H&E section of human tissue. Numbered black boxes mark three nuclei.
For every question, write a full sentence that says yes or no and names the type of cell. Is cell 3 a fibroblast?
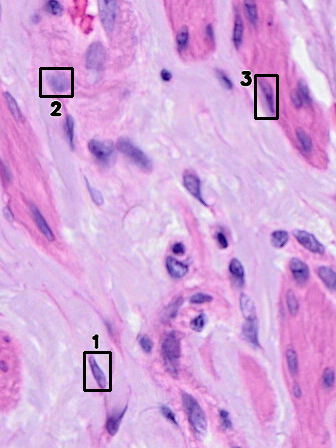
No, the right label for cell 3 is a smooth muscle cell rather than a fibroblast.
